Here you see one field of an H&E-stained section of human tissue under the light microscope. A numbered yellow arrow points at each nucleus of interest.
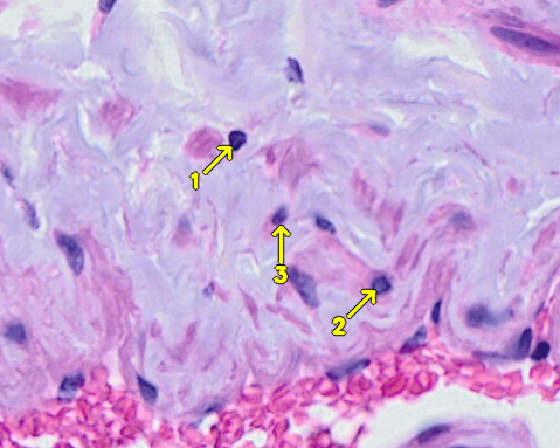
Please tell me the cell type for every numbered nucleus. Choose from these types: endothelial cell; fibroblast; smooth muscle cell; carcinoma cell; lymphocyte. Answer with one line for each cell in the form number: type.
1: lymphocyte
2: smooth muscle cell
3: smooth muscle cell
